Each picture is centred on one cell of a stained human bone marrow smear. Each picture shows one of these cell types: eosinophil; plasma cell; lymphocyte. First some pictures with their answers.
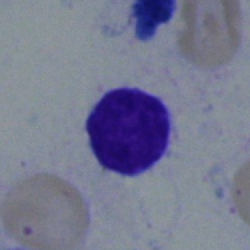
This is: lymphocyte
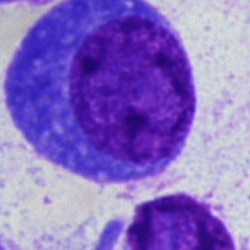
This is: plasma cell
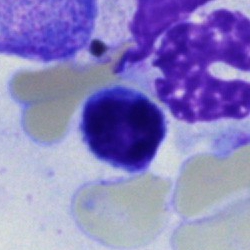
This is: lymphocyte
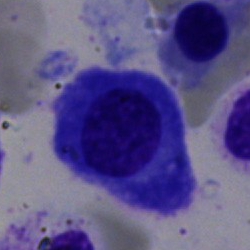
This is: plasma cell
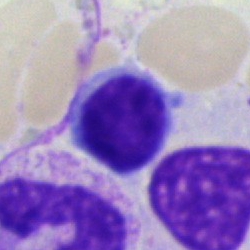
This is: lymphocyte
